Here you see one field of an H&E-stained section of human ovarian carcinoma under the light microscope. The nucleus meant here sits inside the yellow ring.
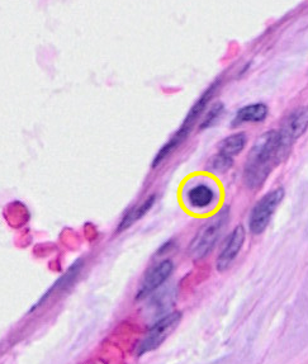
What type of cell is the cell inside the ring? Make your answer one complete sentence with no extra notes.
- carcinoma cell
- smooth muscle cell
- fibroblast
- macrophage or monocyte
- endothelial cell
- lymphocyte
The identity of the cell inside the ring is that of a lymphocyte.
